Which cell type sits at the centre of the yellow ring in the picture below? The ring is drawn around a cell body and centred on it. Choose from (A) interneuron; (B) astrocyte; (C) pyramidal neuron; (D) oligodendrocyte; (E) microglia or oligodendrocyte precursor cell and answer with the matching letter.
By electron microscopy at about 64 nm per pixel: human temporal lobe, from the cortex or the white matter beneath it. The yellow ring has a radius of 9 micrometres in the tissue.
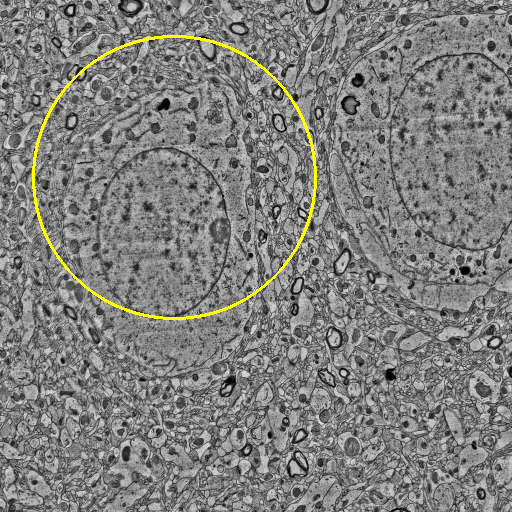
C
